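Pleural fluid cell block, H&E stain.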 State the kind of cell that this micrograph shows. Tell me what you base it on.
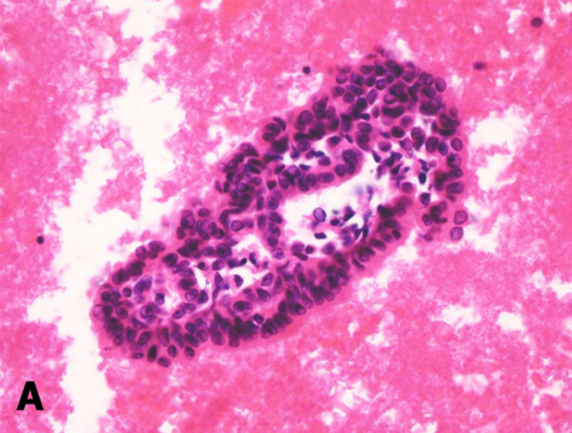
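Adenocarcinoma. A cohesive, crowded cluster of cells lies in a background of red blood cells. The nuclei are dark, oval and crowded with little cytoplasm. The cells are arranged around gland-like open spaces.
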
